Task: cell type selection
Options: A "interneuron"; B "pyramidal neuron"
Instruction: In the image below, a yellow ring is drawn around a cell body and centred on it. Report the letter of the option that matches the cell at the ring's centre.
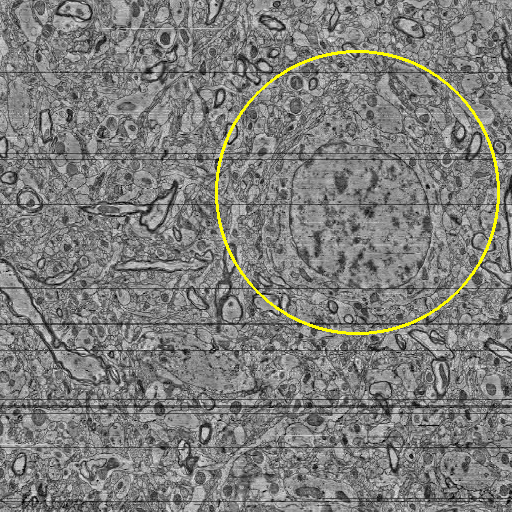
A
